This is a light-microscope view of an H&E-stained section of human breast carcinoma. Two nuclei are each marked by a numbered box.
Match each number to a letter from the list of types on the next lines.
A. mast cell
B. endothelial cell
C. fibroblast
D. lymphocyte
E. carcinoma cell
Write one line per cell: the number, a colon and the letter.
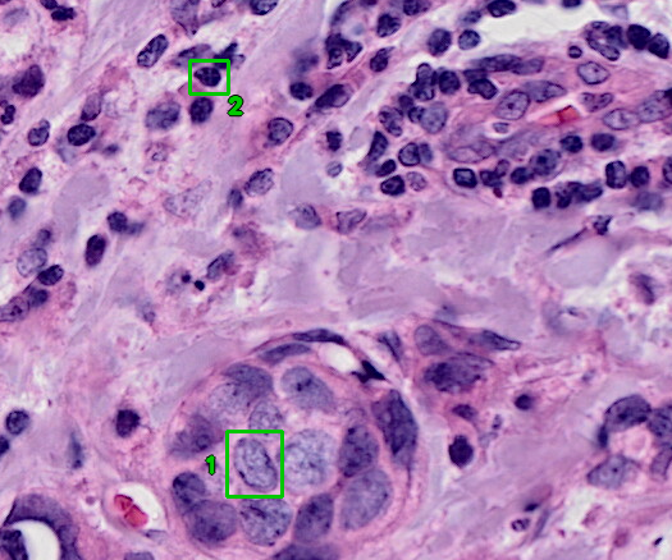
1: E
2: D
